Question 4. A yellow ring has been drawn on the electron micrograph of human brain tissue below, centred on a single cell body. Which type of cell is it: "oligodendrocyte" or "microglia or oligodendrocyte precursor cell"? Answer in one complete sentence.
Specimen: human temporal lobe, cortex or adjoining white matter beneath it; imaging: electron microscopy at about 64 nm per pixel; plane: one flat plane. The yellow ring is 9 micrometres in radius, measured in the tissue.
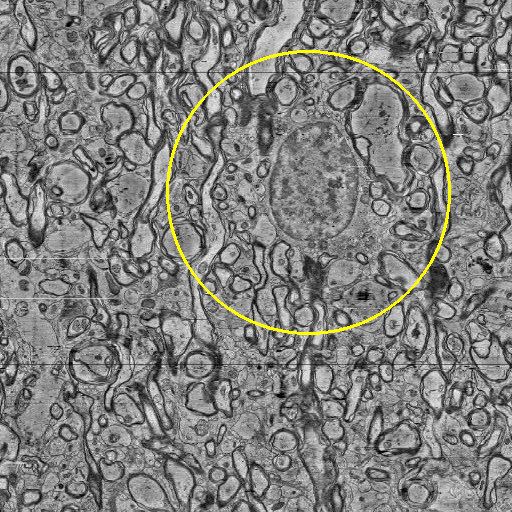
This cell body belongs to an oligodendrocyte.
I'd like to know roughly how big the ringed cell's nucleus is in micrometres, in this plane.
Roughly 8 micrometres by 6 micrometres, in this plane.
